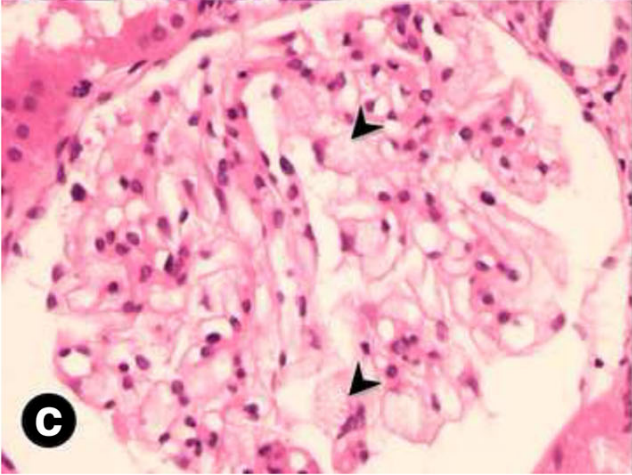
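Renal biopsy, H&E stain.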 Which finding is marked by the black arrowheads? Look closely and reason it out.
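The arrowheads mark pale, foamy cells along the glomerular tuft. Their cytoplasm holds many small clear vacuoles. On this evidence: vacuolated epithelial cells.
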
